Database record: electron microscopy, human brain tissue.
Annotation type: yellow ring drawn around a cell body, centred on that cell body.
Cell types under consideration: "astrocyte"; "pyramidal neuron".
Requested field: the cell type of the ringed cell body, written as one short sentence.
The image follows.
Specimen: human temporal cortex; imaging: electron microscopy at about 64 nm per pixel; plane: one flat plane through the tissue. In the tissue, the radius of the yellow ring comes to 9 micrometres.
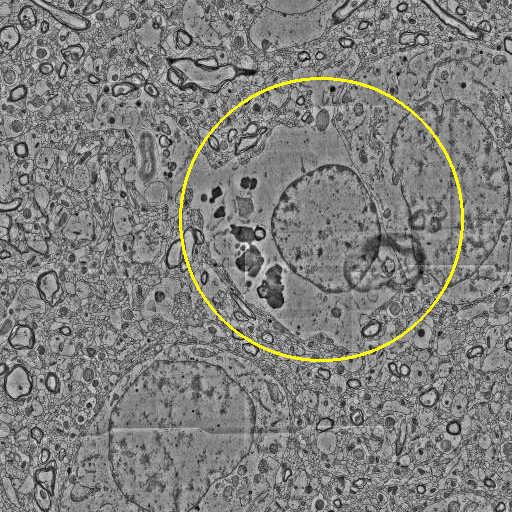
The ringed cell body represents an astrocyte.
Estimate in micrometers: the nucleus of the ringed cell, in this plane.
In this plane the nucleus measures roughly 8 by 7 micrometers.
